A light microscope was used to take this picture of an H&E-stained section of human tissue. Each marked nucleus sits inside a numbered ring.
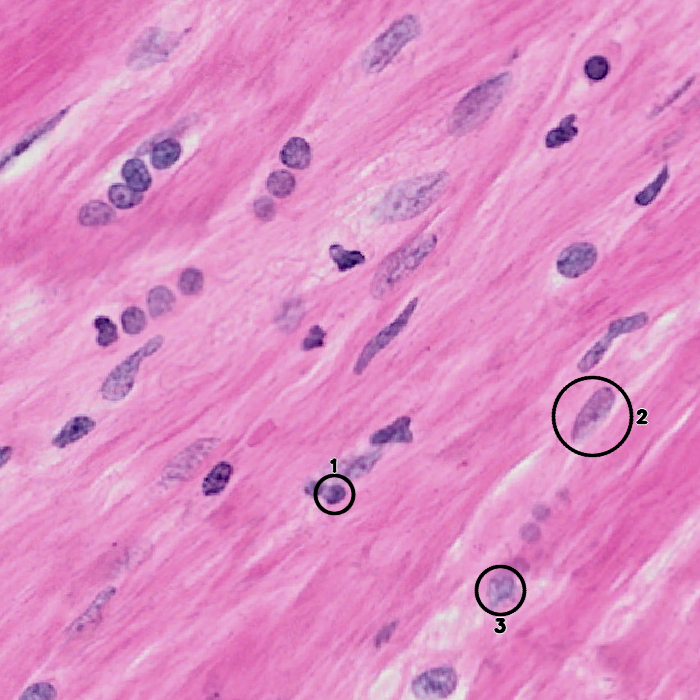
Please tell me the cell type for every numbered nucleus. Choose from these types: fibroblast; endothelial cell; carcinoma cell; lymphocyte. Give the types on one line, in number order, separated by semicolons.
lymphocyte; fibroblast; fibroblast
